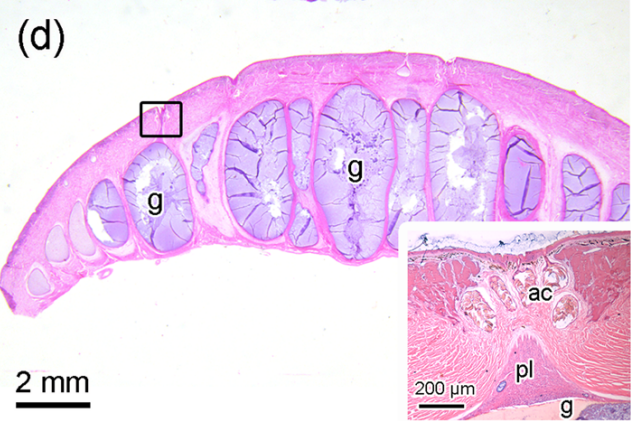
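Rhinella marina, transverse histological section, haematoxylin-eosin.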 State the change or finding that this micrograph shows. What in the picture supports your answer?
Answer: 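A row of juxtaposed purple-filled glands across the section. Glands in the middle are much larger than those at the ends. On this evidence: the glands are larger in the centre of the structure and decrease towards periphery.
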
